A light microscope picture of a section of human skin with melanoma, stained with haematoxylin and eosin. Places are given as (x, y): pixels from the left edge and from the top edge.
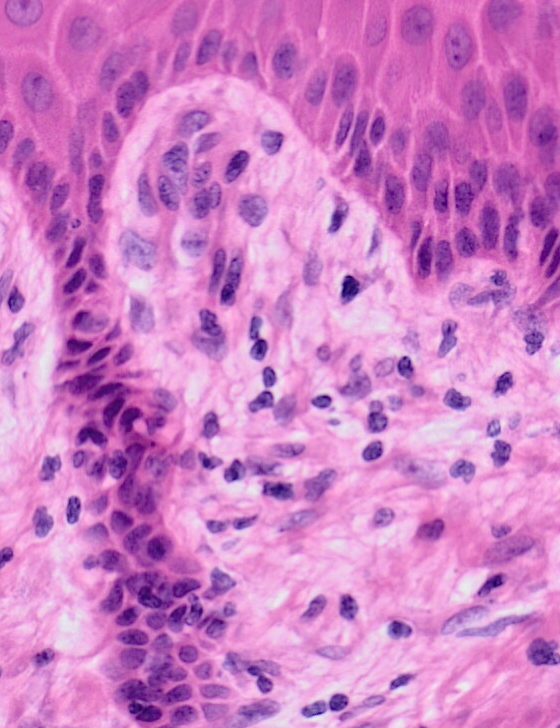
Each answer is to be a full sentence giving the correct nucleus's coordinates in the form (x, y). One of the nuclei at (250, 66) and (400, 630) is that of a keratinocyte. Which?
The nucleus that belongs to a keratinocyte sits at (250, 66).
